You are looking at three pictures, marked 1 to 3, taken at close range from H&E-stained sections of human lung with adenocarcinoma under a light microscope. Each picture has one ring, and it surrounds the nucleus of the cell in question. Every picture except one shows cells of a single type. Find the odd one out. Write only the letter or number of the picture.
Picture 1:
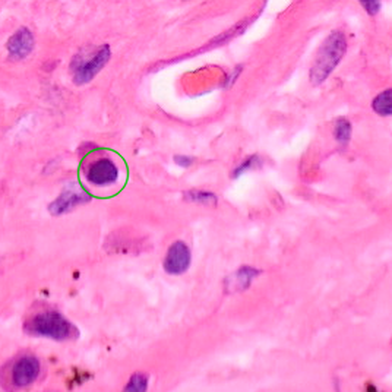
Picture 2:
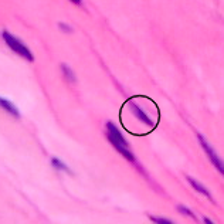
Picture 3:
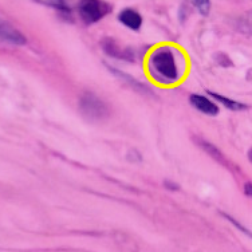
2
